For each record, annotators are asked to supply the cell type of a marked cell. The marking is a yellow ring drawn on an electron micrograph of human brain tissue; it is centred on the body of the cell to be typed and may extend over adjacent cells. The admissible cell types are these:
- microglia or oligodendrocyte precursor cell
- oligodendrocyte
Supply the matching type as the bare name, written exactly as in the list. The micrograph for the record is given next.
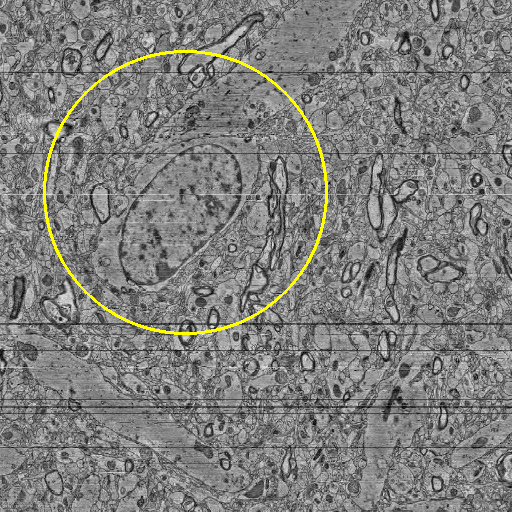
microglia or oligodendrocyte precursor cell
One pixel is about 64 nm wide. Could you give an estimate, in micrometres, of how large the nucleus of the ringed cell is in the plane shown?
About 11 by 6 micrometres; in this plane the nucleus is clearly longer than it is wide.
